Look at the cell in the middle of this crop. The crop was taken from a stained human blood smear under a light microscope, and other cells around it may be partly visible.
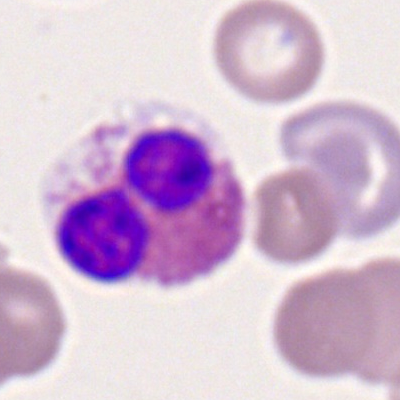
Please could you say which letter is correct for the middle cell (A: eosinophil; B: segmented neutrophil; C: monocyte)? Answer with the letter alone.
A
